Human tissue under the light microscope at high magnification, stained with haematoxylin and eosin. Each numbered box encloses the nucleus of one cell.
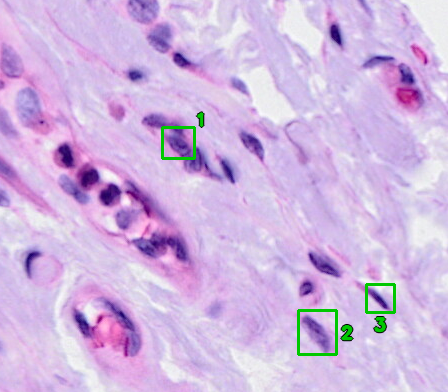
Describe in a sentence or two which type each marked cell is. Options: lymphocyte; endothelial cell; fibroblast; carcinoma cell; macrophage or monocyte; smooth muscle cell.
Cell 1 is an endothelial cell. Cells 2 and 3 are fibroblasts.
